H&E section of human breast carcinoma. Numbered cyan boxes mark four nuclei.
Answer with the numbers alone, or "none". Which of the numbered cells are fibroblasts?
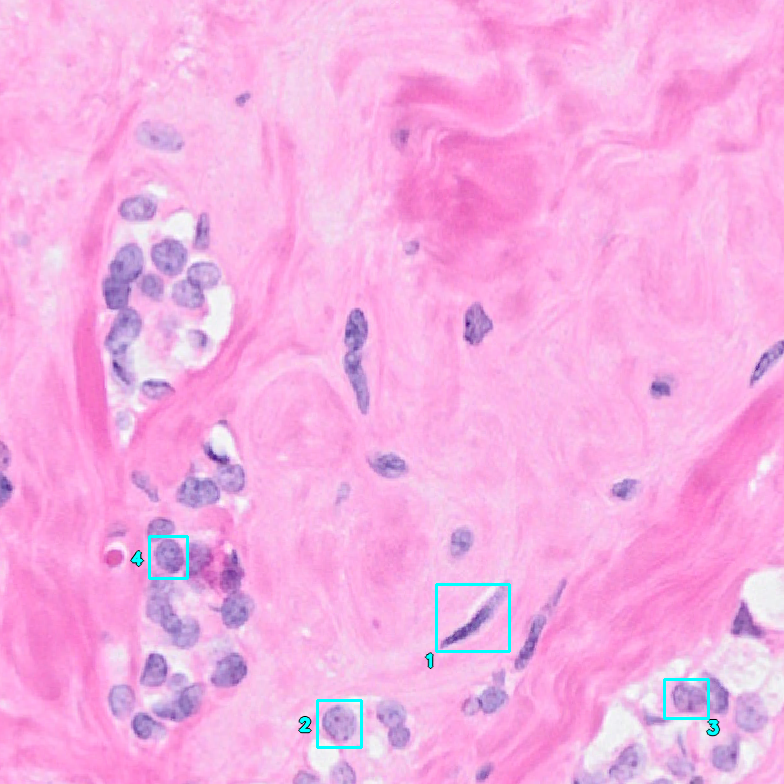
1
